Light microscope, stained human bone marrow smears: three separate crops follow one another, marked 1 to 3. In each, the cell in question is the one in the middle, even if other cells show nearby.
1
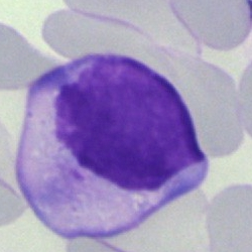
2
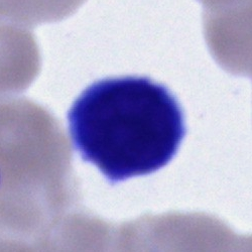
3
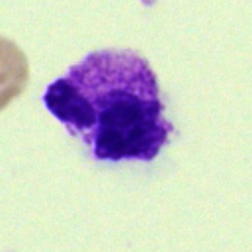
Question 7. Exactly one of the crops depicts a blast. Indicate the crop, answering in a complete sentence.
The crop in which a blast is shown is crop 1.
